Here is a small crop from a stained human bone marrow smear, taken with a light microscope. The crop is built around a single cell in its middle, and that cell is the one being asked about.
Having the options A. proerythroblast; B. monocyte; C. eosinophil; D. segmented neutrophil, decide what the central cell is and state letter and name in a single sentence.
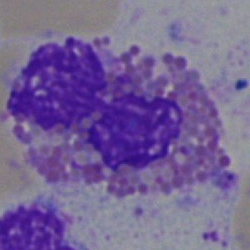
Option C is correct in naming the middle cell an eosinophil.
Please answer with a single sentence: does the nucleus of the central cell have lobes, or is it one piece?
Multiple nuclear lobes, two or more, can be counted in this cell.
